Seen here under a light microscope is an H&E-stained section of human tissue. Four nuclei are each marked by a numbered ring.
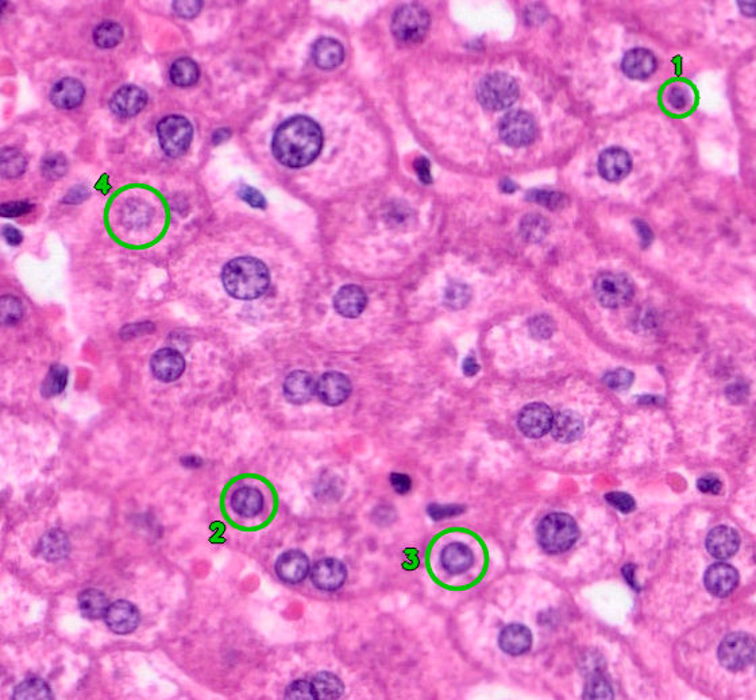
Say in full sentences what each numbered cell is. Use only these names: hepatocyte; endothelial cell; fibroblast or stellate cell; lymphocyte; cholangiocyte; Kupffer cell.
Cell 1 is a Kupffer cell, cell 2 is a hepatocyte, cell 3 is a hepatocyte and cell 4 is a hepatocyte.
